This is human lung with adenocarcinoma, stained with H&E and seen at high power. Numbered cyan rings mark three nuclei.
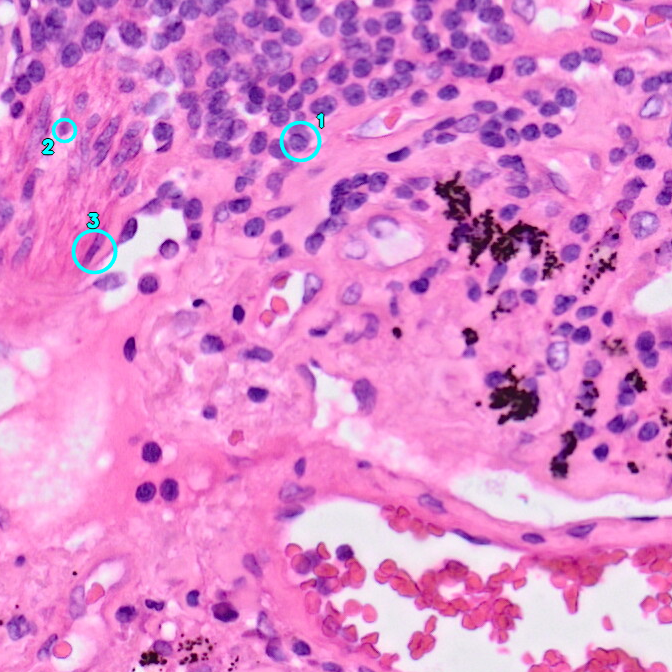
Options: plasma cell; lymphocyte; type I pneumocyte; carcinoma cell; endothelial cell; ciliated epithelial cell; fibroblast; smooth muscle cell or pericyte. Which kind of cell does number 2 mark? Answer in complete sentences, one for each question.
The cell whose nucleus carries the number 2 is a smooth muscle cell or pericyte.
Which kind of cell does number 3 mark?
The marked cell with the number 3 is recognised as a smooth muscle cell or pericyte.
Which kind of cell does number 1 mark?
The cell indicated by marker 1 is a lymphocyte in this section.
